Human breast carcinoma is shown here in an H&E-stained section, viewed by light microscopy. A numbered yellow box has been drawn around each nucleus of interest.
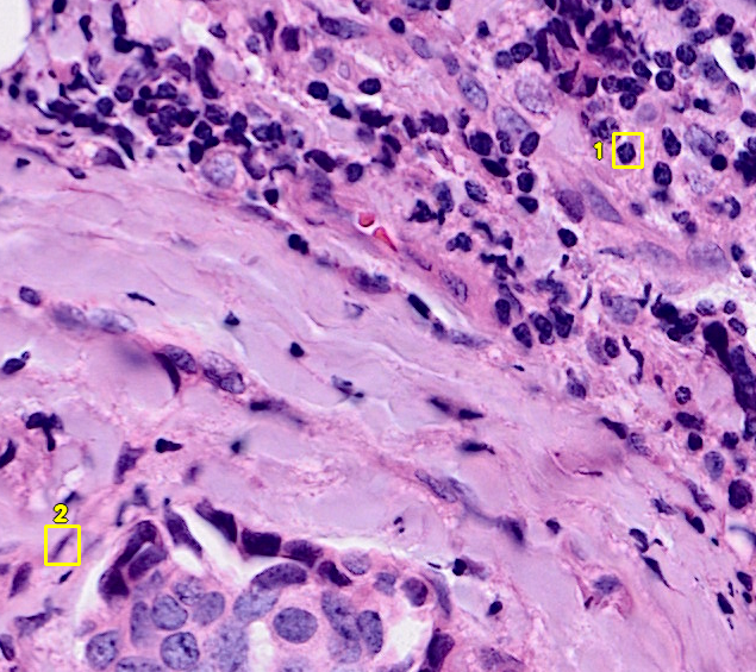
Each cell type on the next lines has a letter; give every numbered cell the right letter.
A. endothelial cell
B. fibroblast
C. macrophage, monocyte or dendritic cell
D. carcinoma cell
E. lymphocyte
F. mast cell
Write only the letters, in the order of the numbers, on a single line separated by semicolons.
E; B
